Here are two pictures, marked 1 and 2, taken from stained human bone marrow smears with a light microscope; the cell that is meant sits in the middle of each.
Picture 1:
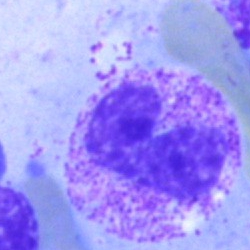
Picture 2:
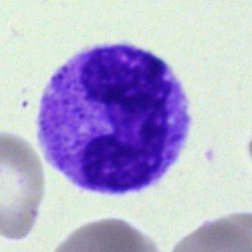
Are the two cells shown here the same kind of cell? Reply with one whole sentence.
Yes, both are band neutrophils.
